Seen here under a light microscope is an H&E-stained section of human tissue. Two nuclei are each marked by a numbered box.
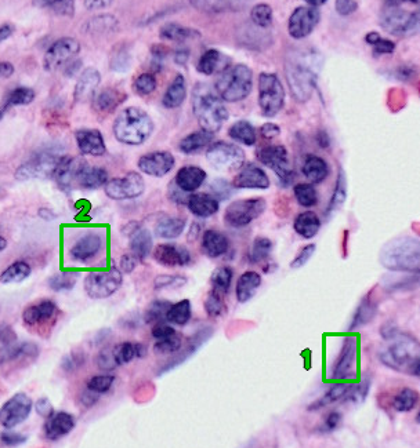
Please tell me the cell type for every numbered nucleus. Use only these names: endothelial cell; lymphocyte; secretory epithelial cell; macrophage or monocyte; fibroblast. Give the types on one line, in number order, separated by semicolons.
endothelial cell; lymphocyte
